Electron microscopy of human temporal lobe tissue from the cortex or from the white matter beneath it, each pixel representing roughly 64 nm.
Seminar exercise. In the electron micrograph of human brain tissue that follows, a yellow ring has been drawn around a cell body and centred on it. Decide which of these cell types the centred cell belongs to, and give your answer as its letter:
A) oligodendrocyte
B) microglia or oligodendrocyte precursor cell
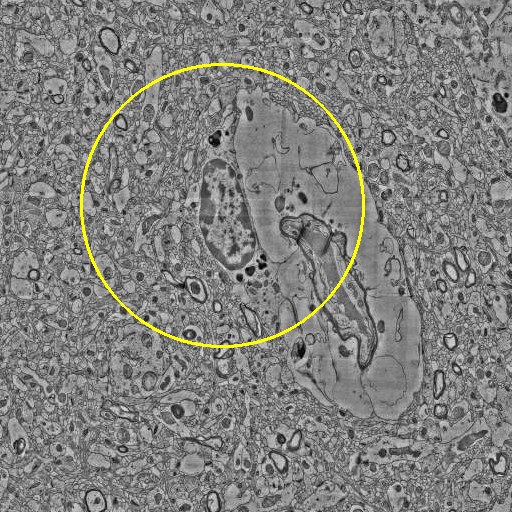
B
